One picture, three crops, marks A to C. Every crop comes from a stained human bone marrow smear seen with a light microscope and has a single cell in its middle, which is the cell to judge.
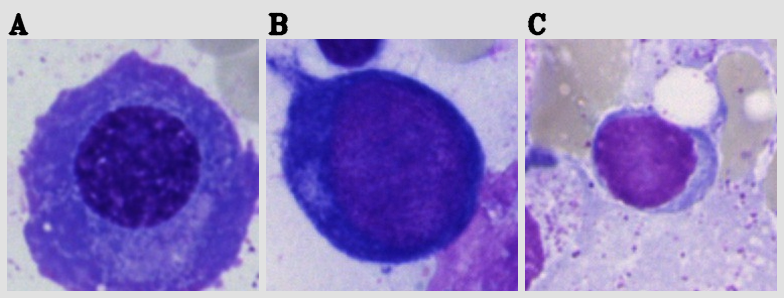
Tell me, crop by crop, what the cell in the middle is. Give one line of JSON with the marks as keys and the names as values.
{"A": "plasma cell", "B": "proerythroblast", "C": "lymphocyte"}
